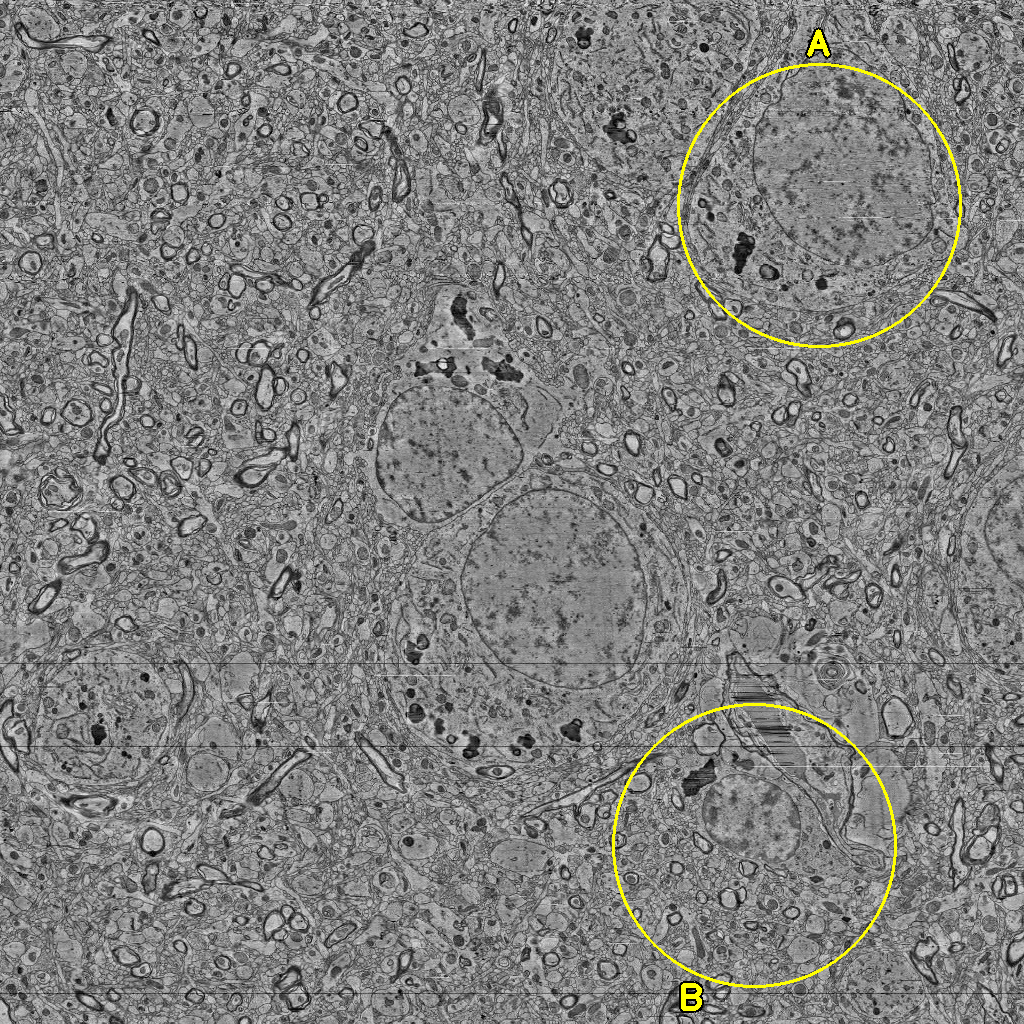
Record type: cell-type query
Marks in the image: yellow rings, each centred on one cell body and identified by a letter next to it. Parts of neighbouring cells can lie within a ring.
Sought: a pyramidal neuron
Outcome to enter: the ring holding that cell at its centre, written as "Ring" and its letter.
Ring A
